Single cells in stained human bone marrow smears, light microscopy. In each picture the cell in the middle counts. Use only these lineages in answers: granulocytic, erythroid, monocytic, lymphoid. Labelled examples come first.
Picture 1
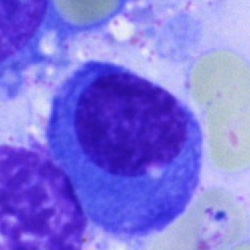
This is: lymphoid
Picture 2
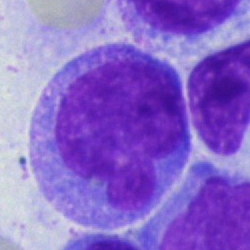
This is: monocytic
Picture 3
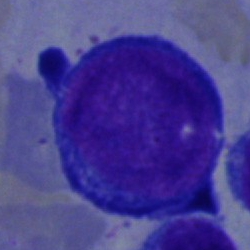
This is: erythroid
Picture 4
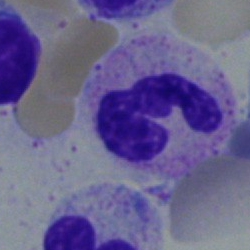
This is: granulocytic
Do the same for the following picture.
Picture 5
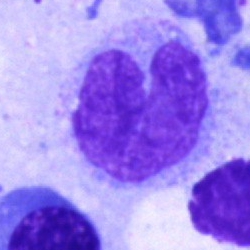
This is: monocytic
